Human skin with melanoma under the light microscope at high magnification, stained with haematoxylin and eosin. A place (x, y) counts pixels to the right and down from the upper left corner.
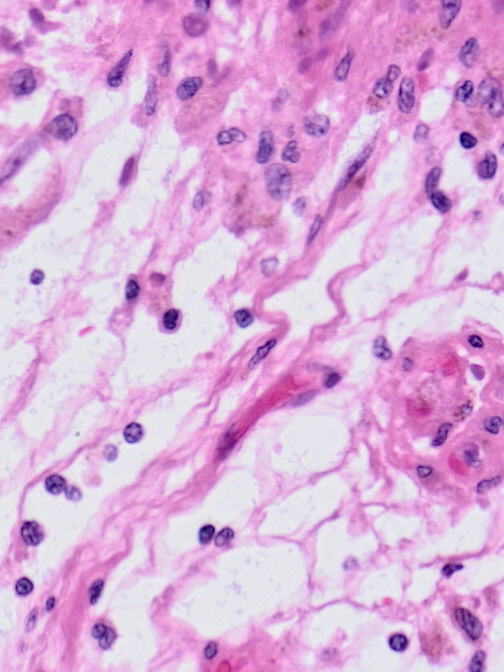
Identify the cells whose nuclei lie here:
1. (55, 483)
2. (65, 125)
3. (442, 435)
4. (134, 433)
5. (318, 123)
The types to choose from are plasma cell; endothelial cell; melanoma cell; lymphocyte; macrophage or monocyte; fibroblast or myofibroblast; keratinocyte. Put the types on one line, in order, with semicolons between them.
lymphocyte; macrophage or monocyte; macrophage or monocyte; lymphocyte; macrophage or monocyte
